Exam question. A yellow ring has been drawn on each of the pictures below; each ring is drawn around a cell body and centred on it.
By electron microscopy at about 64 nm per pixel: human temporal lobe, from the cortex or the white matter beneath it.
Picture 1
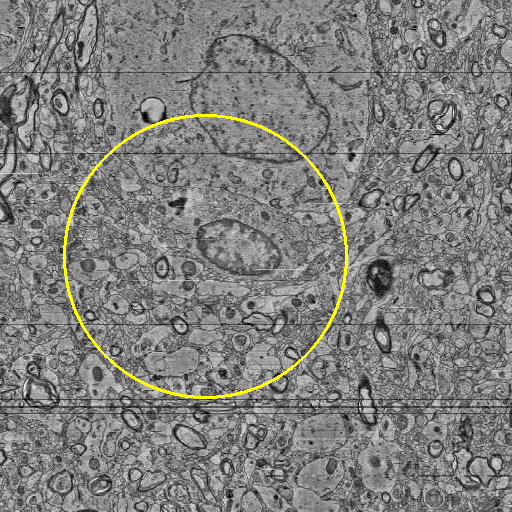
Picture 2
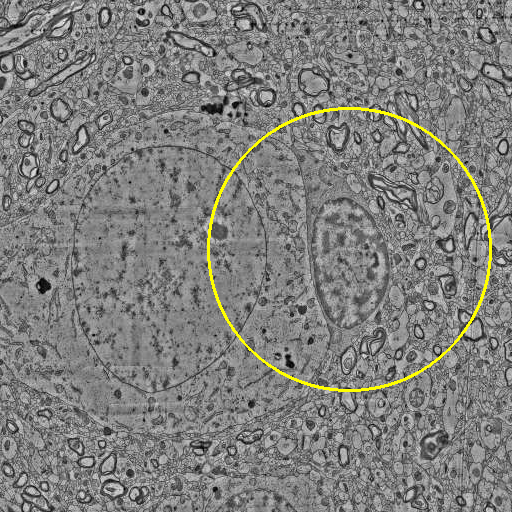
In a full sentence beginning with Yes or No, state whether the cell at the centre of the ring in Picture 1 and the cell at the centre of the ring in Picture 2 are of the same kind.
Yes, the two cells are of the same kind.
